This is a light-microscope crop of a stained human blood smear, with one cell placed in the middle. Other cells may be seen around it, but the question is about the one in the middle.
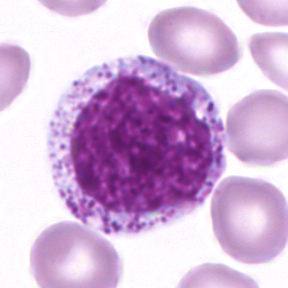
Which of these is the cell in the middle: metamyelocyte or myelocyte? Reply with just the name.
myelocyte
